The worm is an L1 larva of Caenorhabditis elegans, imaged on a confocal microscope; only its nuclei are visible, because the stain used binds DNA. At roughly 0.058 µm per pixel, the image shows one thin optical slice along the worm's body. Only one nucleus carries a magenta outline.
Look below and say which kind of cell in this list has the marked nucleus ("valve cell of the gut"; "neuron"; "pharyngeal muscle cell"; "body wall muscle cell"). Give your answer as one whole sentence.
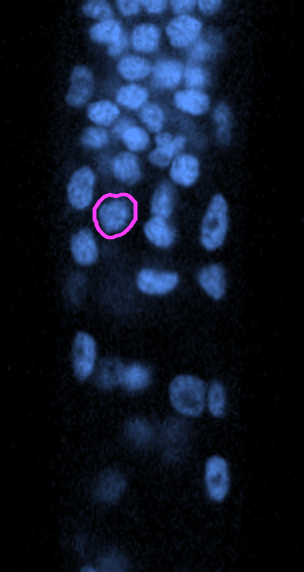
It is the nucleus of a pharyngeal muscle cell.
